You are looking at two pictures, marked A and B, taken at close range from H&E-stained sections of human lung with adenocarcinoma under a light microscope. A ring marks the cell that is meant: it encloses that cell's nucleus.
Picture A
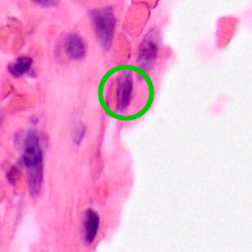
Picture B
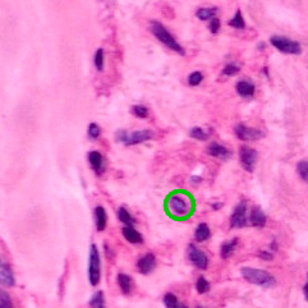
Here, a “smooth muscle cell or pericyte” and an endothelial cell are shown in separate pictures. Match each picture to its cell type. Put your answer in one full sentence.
It is picture A that shows an endothelial cell, and picture B that shows a “smooth muscle cell or pericyte”.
